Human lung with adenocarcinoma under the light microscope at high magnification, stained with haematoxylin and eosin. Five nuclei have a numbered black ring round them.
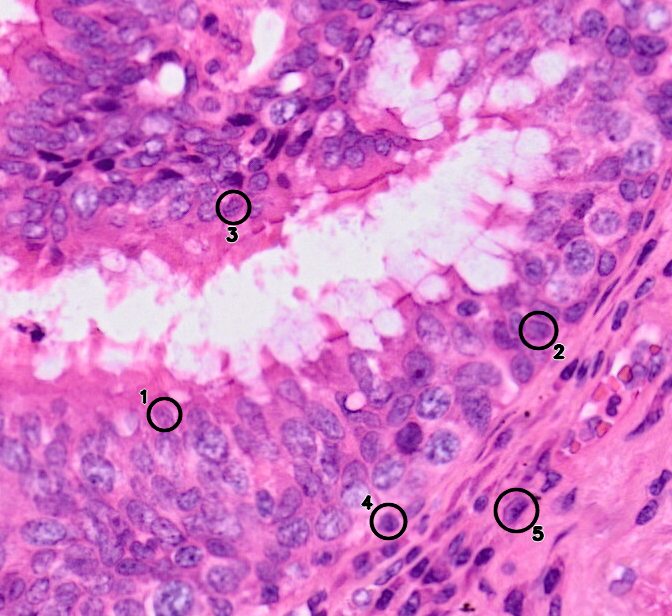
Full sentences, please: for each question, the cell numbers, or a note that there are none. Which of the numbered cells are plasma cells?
In contrast to the remaining marked cells, cell 5 is a plasma cell.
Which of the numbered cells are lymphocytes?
Across all the numbered cells, only number 4 is a lymphocyte.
